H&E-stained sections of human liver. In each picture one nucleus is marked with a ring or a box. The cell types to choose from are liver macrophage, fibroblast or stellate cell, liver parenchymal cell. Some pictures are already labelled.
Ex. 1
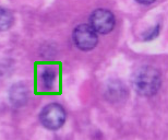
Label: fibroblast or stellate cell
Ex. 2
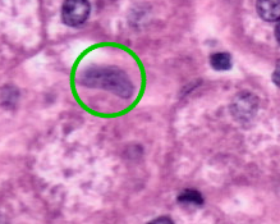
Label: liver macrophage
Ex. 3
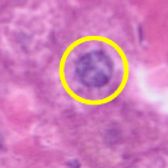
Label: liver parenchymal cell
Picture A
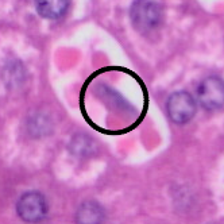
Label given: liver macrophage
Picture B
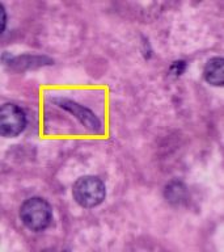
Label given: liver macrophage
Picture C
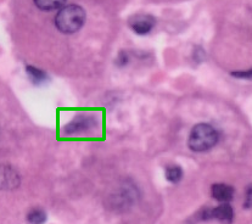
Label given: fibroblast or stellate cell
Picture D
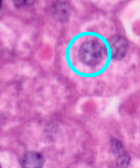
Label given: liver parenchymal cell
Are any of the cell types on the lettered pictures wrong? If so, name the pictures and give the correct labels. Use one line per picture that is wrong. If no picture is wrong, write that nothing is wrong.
None of the labels needs changing.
